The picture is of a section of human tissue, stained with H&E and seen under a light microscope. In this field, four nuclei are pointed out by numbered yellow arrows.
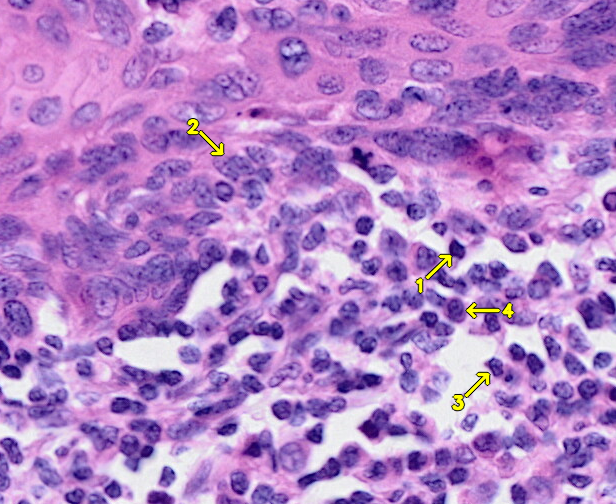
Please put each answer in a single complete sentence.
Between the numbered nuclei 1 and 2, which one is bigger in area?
Nucleus 2 is larger, with an area about 2 times that of nucleus 1.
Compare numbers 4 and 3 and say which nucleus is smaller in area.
Nucleus 3 is the smaller one; nucleus 4 covers about 1.5 times its area.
